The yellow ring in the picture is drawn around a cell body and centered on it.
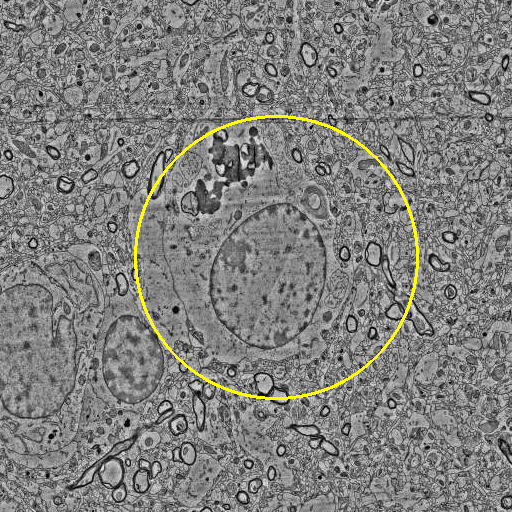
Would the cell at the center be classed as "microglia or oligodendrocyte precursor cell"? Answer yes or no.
No, it belongs to another class.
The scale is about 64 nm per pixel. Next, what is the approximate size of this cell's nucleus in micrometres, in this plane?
In this plane, the nucleus of the cell at the centre of the ring measures about 9 by 7 micrometres.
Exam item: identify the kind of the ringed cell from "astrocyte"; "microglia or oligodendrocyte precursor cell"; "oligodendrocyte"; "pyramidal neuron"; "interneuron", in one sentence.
Here, the ring is centred on an astrocyte instead.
